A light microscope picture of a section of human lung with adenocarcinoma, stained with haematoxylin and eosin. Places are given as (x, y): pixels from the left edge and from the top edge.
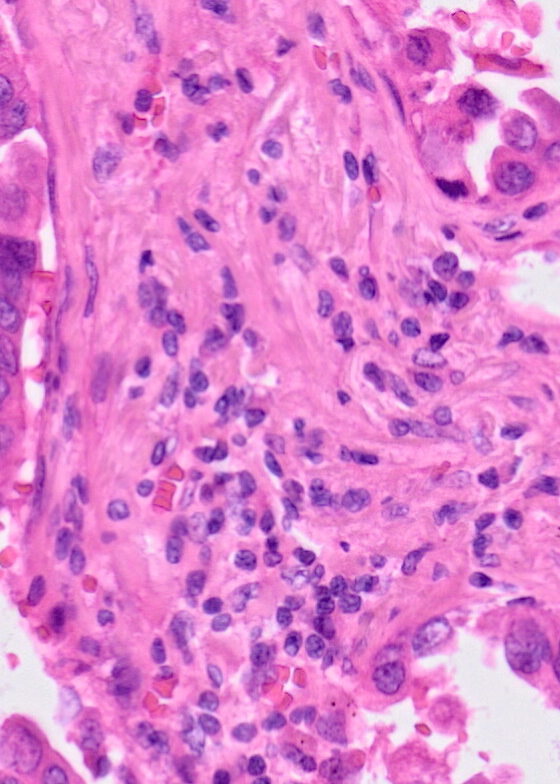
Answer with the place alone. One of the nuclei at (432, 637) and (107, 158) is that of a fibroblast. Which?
(107, 158)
